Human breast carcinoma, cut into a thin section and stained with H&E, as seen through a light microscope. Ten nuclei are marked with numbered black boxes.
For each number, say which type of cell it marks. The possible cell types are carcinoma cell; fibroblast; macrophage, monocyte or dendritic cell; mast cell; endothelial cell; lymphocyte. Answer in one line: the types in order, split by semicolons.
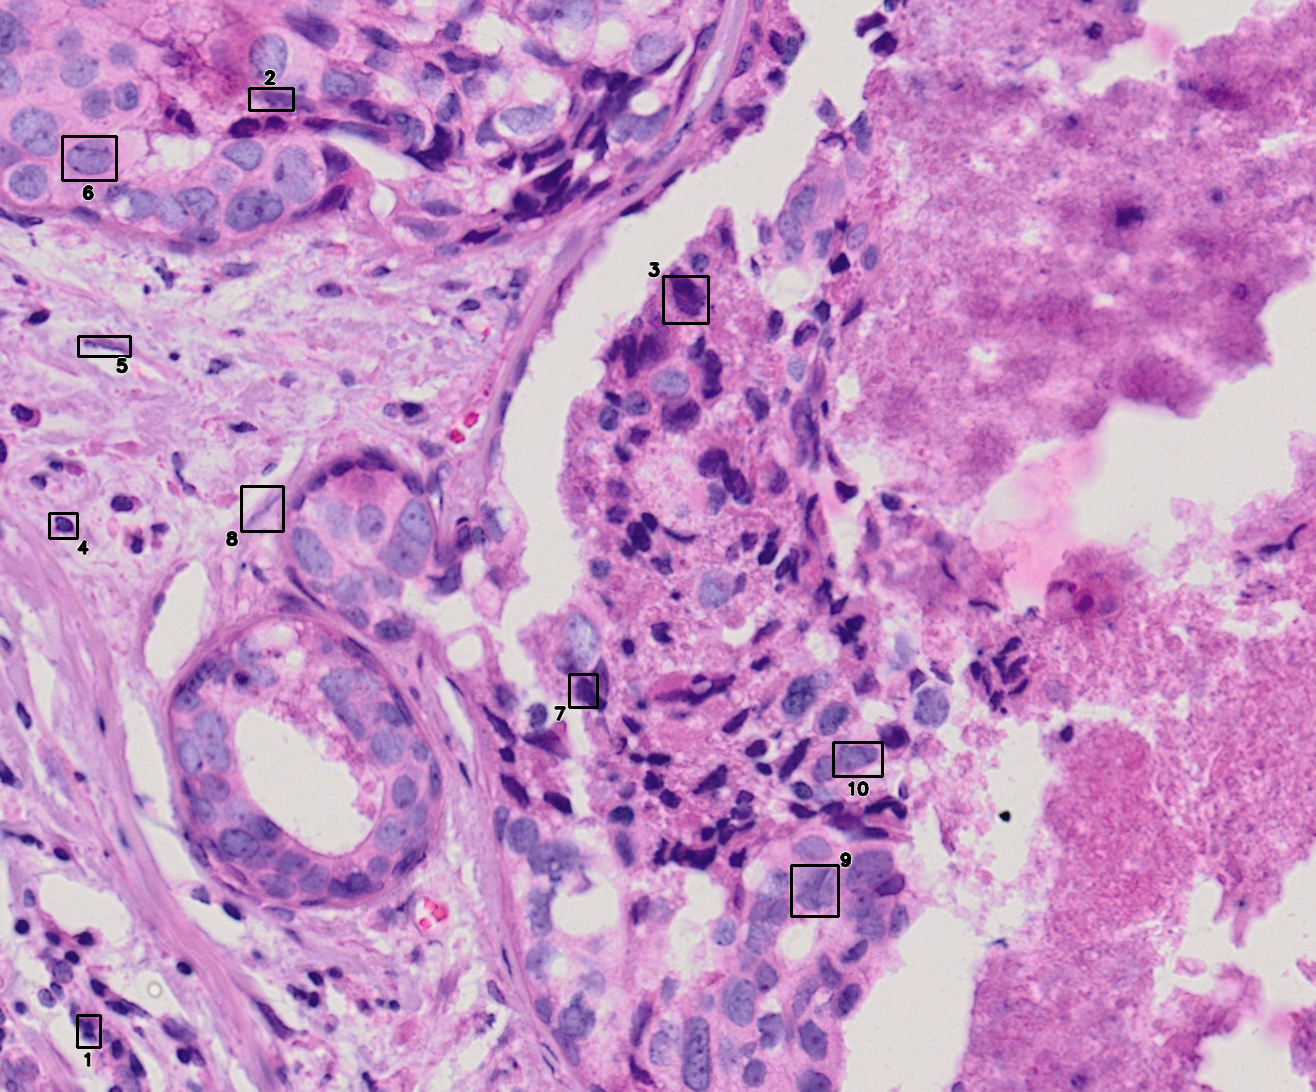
lymphocyte; carcinoma cell; carcinoma cell; lymphocyte; fibroblast; carcinoma cell; carcinoma cell; fibroblast; carcinoma cell; carcinoma cell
